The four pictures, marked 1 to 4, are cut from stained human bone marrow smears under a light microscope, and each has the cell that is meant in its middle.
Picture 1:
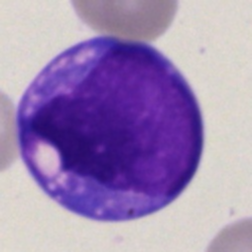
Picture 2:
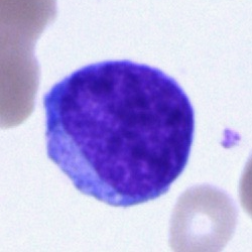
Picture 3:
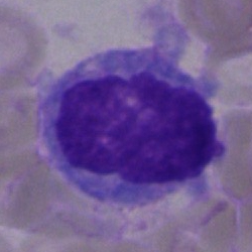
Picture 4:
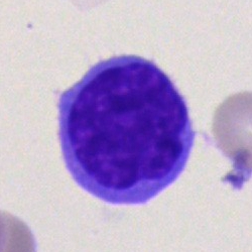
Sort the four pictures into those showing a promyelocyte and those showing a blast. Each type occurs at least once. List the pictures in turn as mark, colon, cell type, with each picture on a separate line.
1: blast
2: blast
3: promyelocyte
4: blast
